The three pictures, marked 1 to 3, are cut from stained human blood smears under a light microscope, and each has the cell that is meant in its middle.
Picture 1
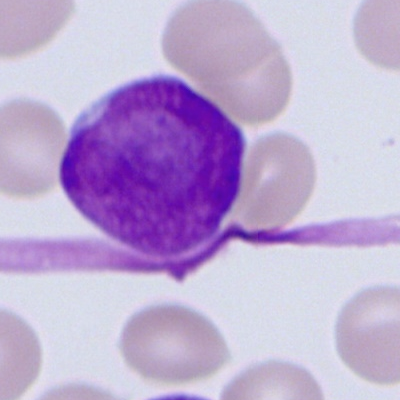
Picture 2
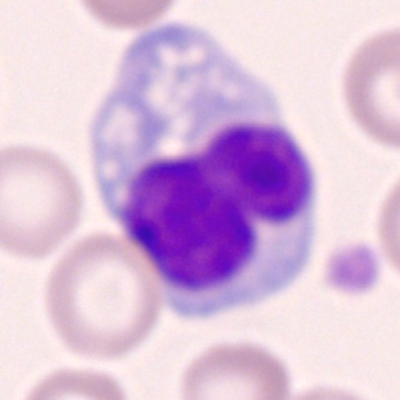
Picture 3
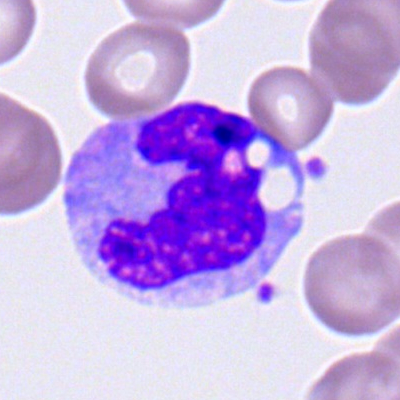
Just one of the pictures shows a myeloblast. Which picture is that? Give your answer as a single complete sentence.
The cell in picture 1 is the myeloblast.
